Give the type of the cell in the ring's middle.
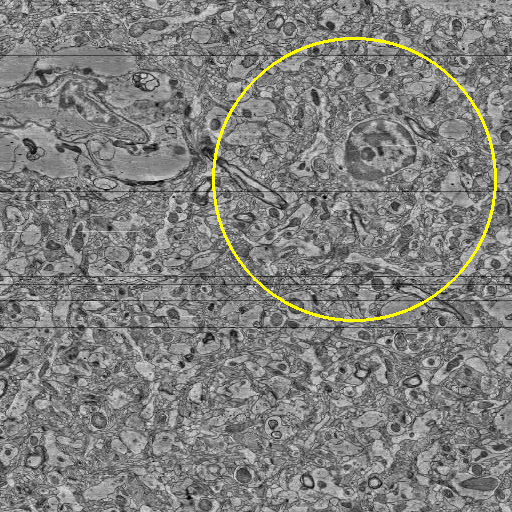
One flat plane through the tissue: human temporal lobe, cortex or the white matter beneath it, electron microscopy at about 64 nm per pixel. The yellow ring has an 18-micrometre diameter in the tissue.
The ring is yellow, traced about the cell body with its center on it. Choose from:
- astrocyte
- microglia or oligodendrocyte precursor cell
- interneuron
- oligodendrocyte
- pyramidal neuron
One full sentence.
Here, a microglial cell or oligodendrocyte precursor cell is the cell lying at the center of the yellow ring.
